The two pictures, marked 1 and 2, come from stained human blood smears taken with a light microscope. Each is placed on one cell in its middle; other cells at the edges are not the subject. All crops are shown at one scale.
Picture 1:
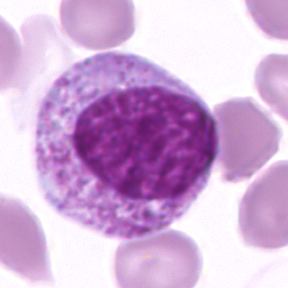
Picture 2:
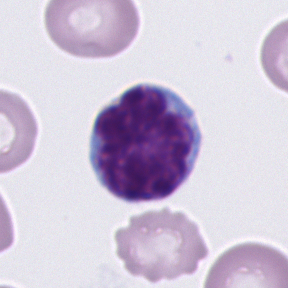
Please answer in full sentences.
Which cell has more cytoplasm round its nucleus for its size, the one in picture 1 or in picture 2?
In picture 1 the nucleus takes up the smaller part of its cell.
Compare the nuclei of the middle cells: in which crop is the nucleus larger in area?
The nucleus in picture 1 is larger, with about 1.5 times the area of the one in picture 2.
